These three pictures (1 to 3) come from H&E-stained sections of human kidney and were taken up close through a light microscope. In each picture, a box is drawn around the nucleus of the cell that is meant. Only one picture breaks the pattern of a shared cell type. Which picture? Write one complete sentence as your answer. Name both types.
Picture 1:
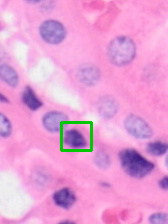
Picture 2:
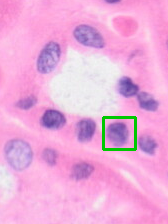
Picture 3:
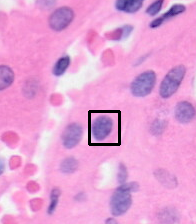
Picture 1 differs, because its cell is a collecting duct cell and the rest are “loop of Henle or distal tubule cells”.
